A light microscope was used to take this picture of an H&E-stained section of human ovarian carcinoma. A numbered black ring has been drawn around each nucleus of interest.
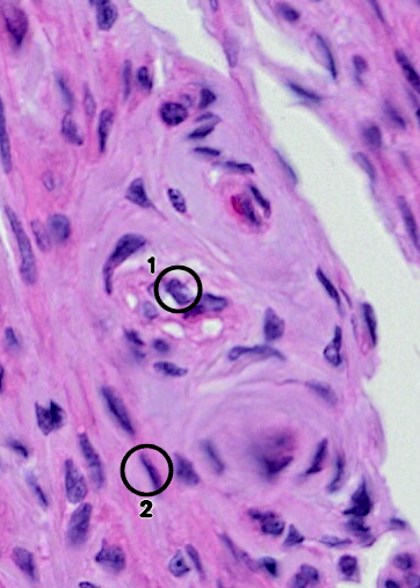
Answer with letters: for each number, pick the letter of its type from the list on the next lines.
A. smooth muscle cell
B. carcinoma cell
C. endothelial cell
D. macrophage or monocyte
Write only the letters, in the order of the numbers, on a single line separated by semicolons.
C; A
